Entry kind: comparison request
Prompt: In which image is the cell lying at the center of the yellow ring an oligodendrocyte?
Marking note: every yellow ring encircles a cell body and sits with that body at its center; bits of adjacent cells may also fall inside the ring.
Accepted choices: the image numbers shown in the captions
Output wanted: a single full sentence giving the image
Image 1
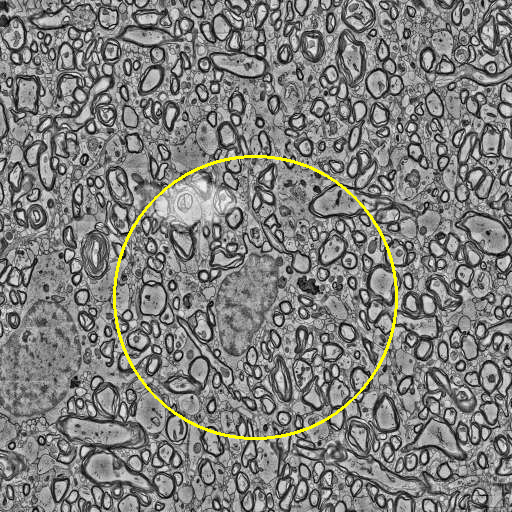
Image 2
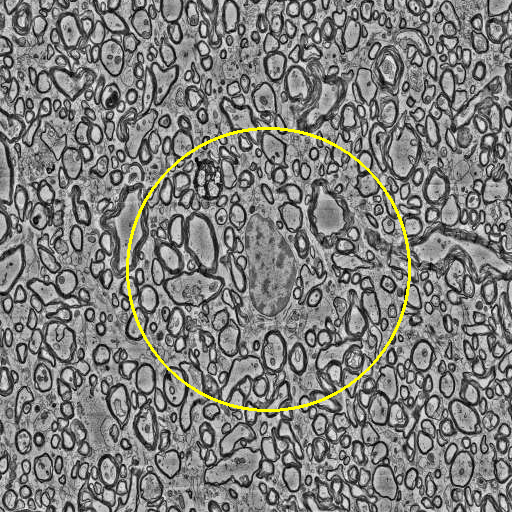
In image 1, the ringed cell at the center matches the prompt.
